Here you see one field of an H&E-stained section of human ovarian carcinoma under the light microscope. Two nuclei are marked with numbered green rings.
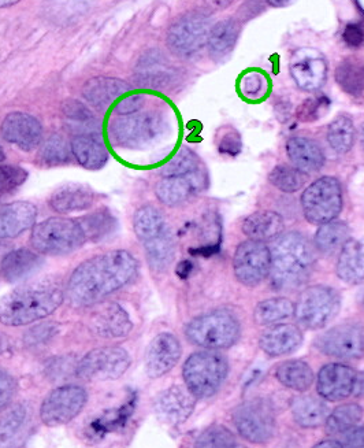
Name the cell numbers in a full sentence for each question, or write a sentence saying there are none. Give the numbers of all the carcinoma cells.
There is just one numbered cell that is a carcinoma cell, and it is cell 2.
